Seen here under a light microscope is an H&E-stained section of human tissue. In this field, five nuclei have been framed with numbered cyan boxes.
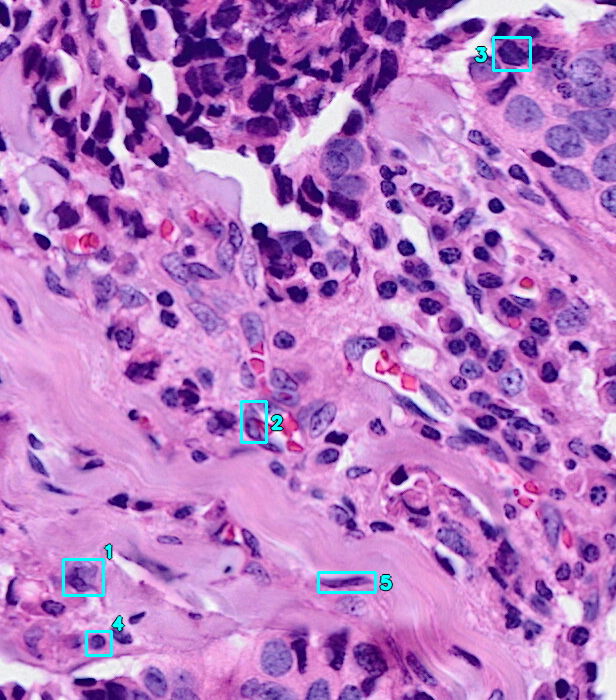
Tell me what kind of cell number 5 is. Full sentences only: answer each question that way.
The cell pointed out as number 5 is a fibroblast.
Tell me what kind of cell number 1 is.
In the tissue shown, cell 1 is a fibroblast.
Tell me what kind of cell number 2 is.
That cell with number 2 is an endothelial cell.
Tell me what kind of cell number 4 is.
In this section, the cell numbered 4 is a mast cell.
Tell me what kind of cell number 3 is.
The cell whose nucleus carries the number 3 is a carcinoma cell.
